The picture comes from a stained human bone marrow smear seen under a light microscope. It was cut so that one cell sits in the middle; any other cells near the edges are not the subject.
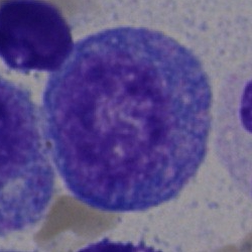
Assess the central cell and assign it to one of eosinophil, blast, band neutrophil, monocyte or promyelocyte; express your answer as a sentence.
On this slide crop, the central cell is a promyelocyte.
